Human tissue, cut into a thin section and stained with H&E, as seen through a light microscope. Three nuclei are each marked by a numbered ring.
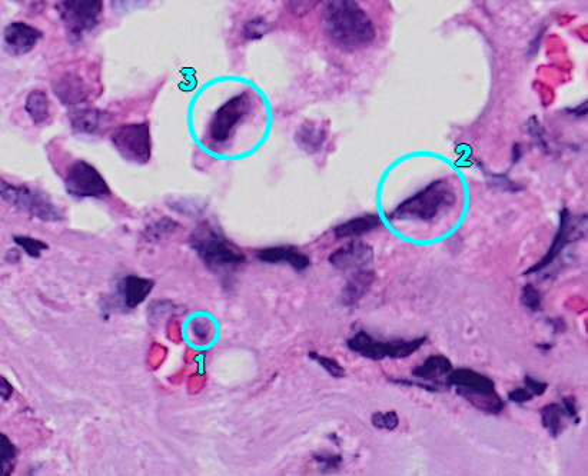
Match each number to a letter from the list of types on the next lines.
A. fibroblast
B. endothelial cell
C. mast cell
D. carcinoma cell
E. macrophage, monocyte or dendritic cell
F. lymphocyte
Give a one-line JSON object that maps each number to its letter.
{"1": "B", "2": "D", "3": "D"}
